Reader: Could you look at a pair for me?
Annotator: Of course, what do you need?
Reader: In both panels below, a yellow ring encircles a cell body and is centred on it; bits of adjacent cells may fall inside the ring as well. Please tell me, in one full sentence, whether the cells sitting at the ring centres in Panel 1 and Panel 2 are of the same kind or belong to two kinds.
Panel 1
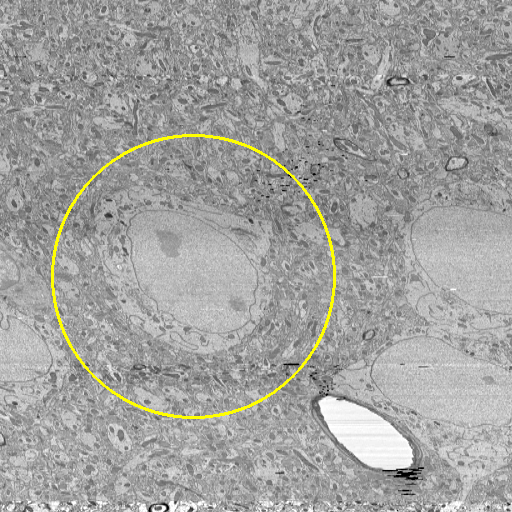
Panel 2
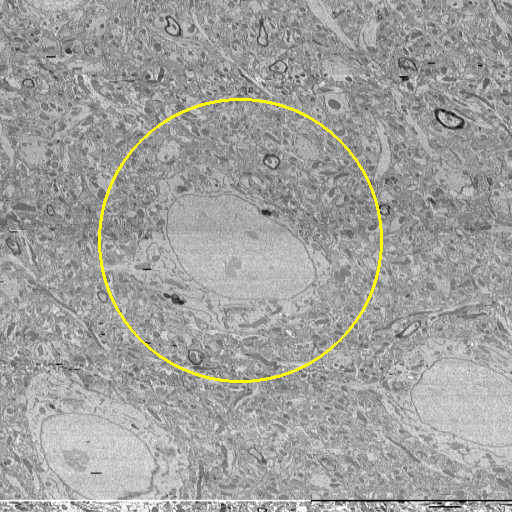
The cell at the ring's centre in Panel 1 and the one in Panel 2 are of the same kind.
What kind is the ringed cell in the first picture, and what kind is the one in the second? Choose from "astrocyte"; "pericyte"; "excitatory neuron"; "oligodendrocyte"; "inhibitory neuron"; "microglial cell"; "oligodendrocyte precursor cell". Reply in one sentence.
Each one of the two ringed cells is an excitatory neuron.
